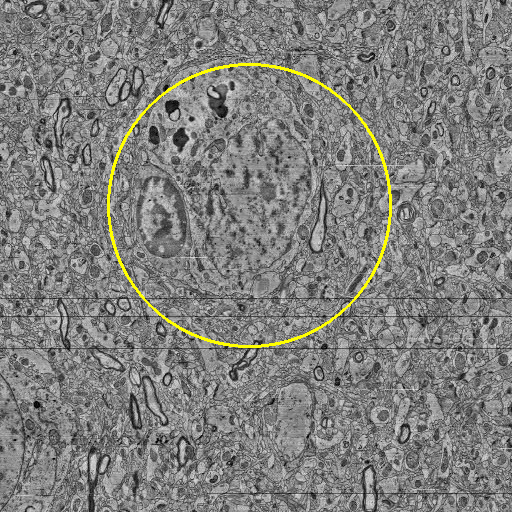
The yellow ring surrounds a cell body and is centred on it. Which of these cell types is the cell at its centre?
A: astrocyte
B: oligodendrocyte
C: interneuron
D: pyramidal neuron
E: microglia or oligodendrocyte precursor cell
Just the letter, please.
C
